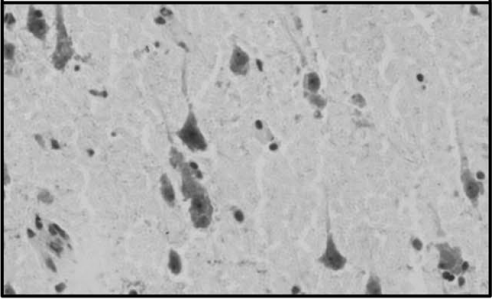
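This field of cerebral cortex shows large pyramidal neurons scattered in a fairly smooth grey background. Their dark cell bodies are triangular, and from the apex of several a single thick process tapers upward. Many small round dark nuclei lie between and beside the large cells, some in small clusters.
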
